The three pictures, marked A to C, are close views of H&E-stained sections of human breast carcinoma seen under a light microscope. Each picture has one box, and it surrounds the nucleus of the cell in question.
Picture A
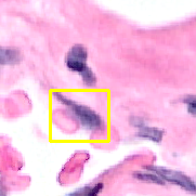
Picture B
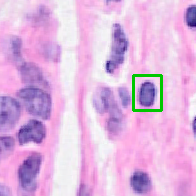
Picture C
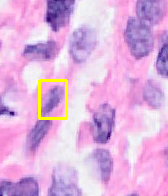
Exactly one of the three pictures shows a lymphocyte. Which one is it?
B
